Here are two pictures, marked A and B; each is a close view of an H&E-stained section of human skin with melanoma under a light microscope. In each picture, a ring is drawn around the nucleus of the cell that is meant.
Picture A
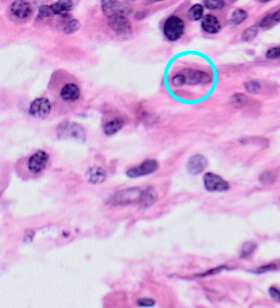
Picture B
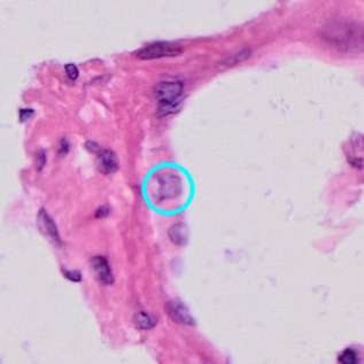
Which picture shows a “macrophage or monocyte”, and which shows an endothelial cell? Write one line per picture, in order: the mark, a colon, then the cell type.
A: macrophage or monocyte
B: endothelial cell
